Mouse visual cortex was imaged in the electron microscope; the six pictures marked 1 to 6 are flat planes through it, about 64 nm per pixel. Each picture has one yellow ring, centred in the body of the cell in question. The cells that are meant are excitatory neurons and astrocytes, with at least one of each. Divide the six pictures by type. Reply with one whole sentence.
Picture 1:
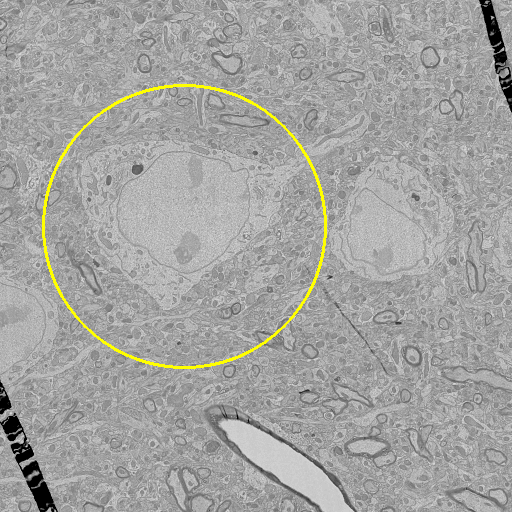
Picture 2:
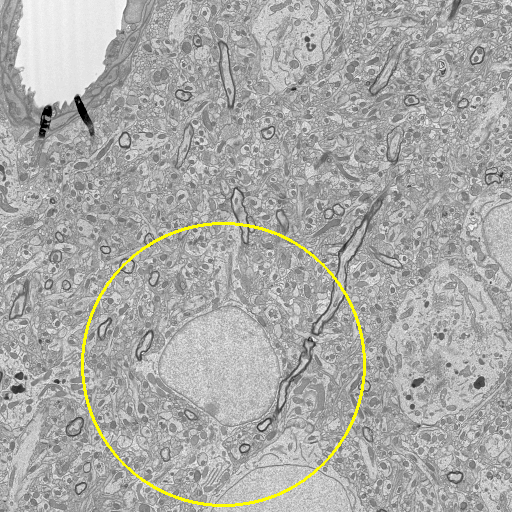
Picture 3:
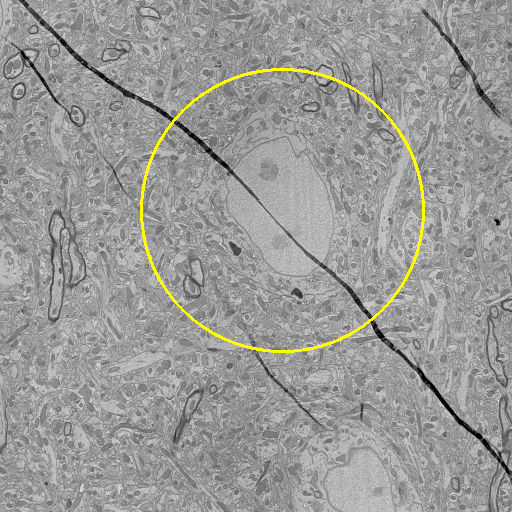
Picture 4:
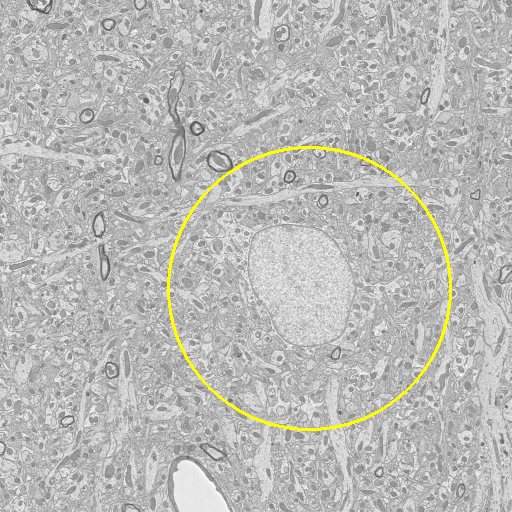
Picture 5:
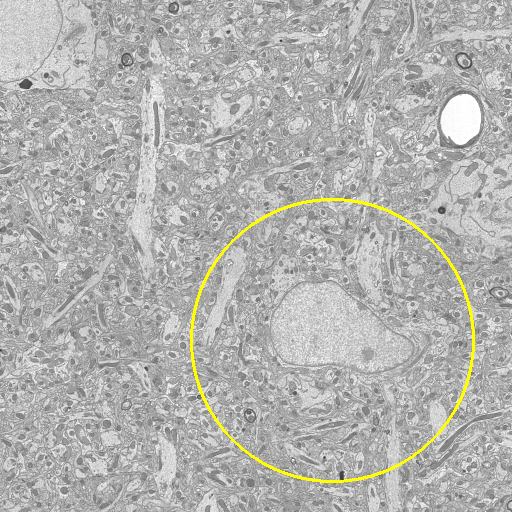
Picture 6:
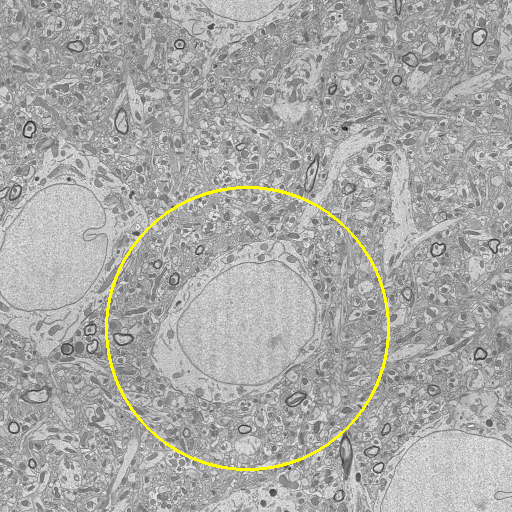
Pictures 1, 3 and 6 show excitatory neurons, while pictures 2, 4 and 5 show astrocytes.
